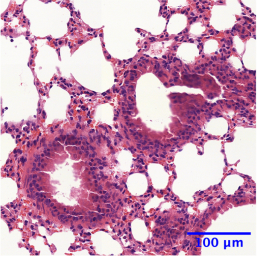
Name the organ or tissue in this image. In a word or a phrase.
Lung tissues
